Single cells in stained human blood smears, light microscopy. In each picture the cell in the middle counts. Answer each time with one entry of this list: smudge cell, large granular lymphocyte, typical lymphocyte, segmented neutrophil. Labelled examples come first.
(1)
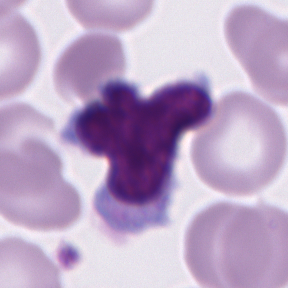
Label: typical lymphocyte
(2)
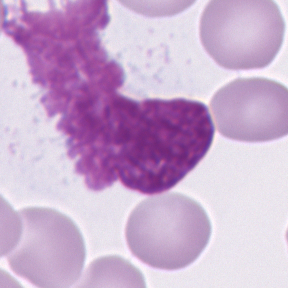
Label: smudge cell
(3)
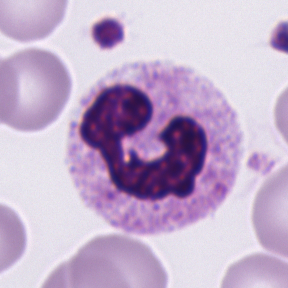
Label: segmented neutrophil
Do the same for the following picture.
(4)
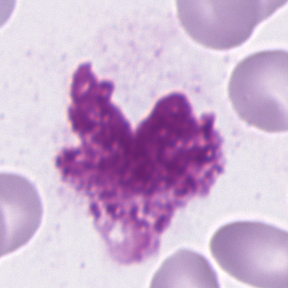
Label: smudge cell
